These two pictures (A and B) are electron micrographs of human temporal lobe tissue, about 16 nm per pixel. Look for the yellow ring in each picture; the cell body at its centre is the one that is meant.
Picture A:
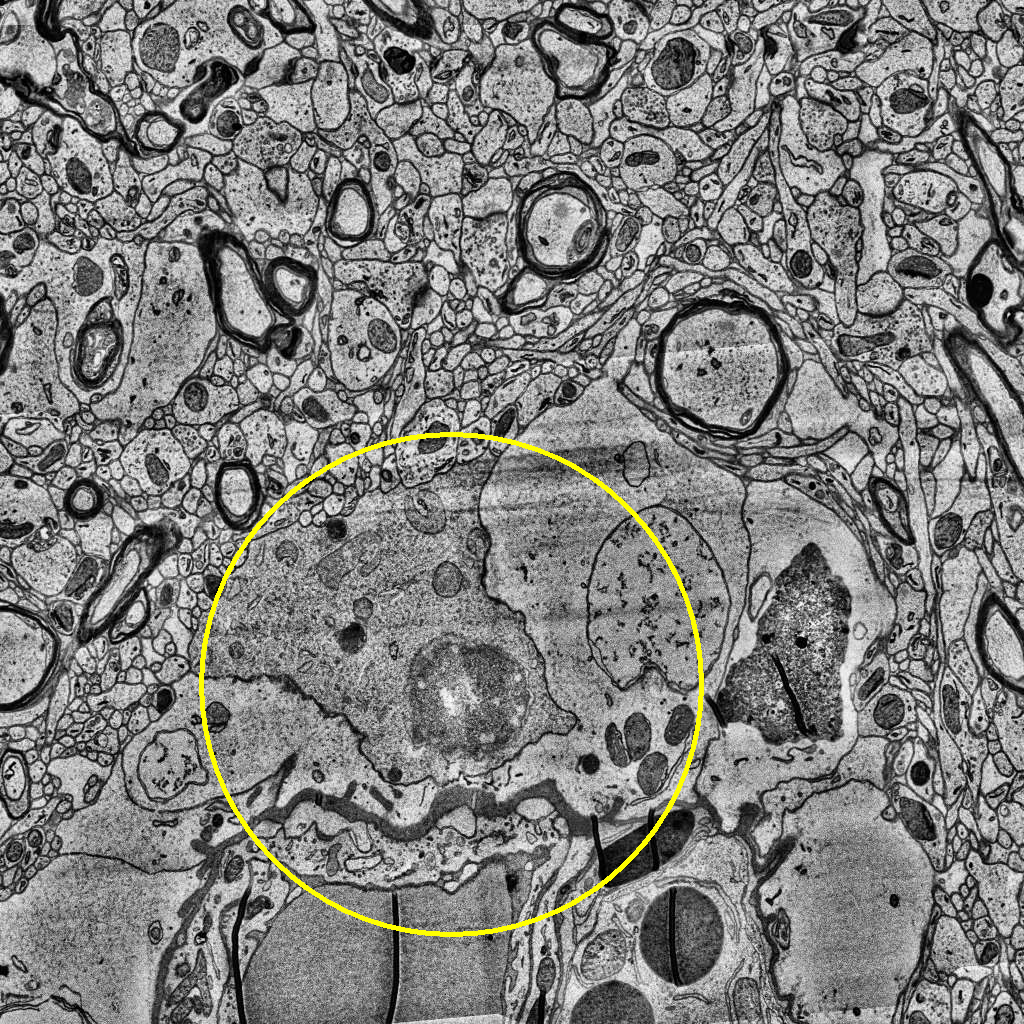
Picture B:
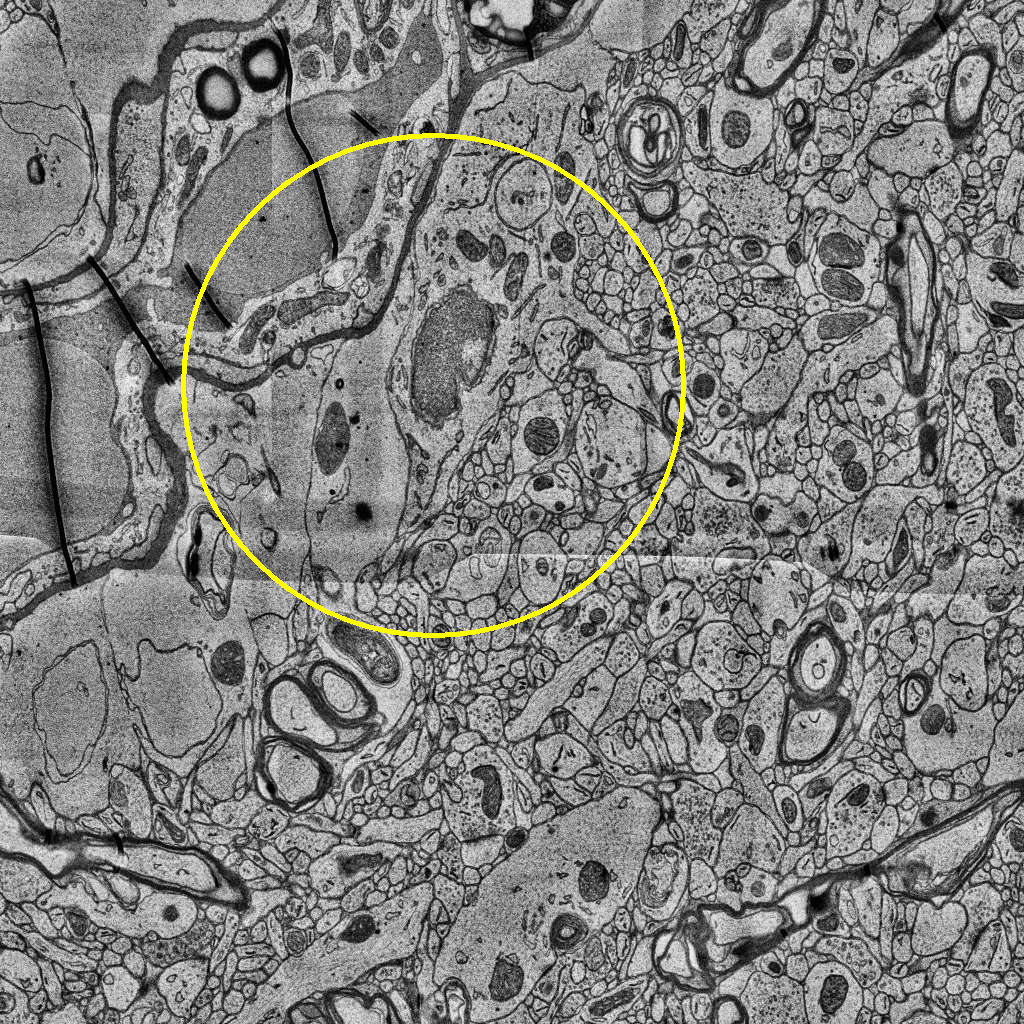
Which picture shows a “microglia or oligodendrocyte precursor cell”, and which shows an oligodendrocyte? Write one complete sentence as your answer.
Picture B shows a “microglia or oligodendrocyte precursor cell”, while picture A shows an oligodendrocyte.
